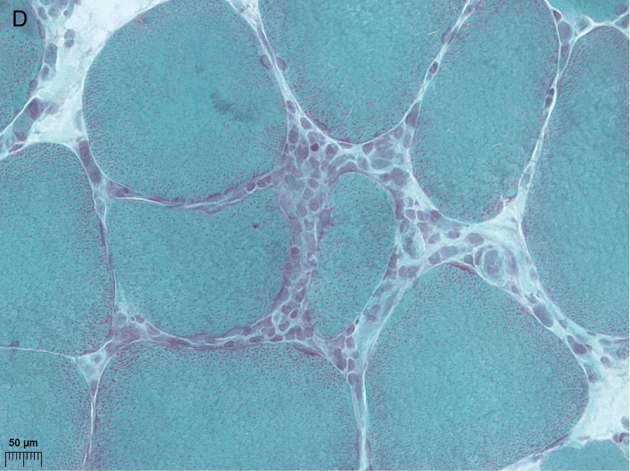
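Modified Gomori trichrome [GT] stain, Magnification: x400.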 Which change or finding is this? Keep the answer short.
Endomysial inflammatory infiltrate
